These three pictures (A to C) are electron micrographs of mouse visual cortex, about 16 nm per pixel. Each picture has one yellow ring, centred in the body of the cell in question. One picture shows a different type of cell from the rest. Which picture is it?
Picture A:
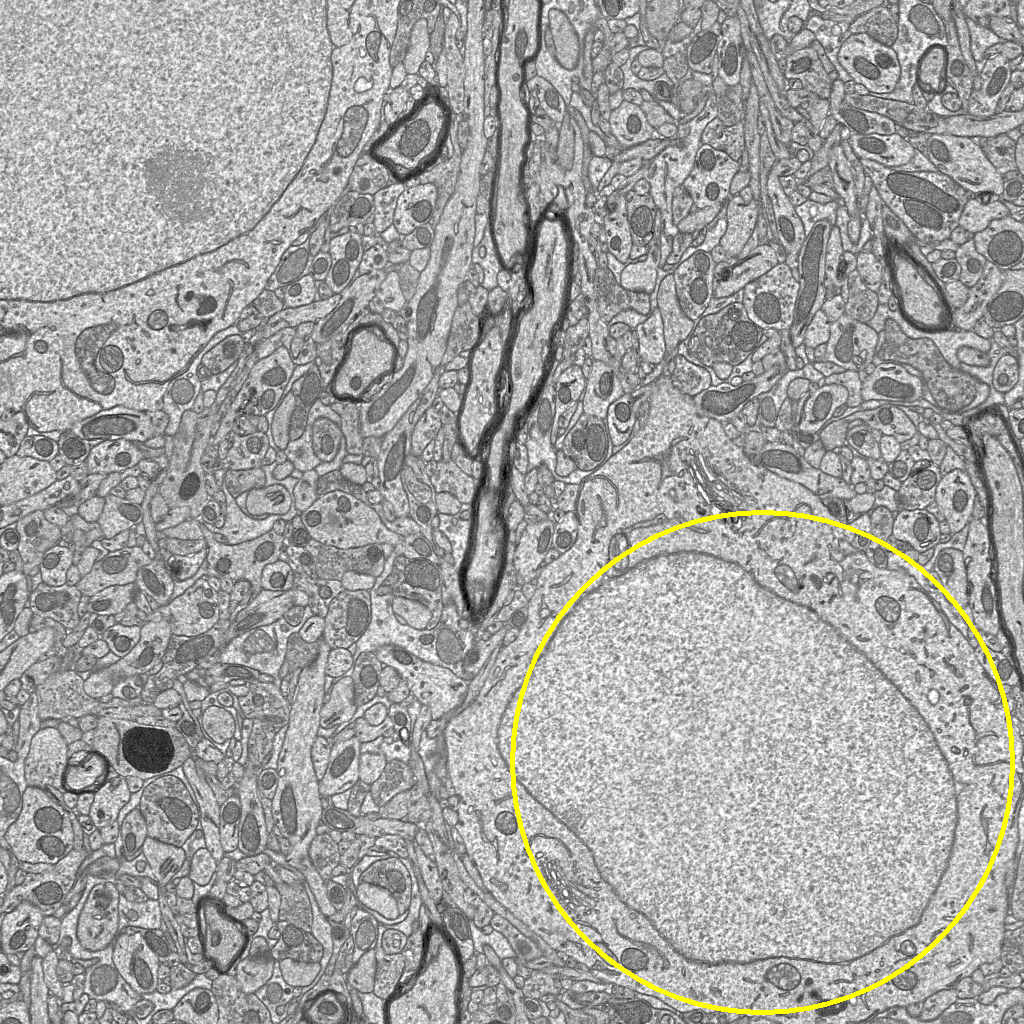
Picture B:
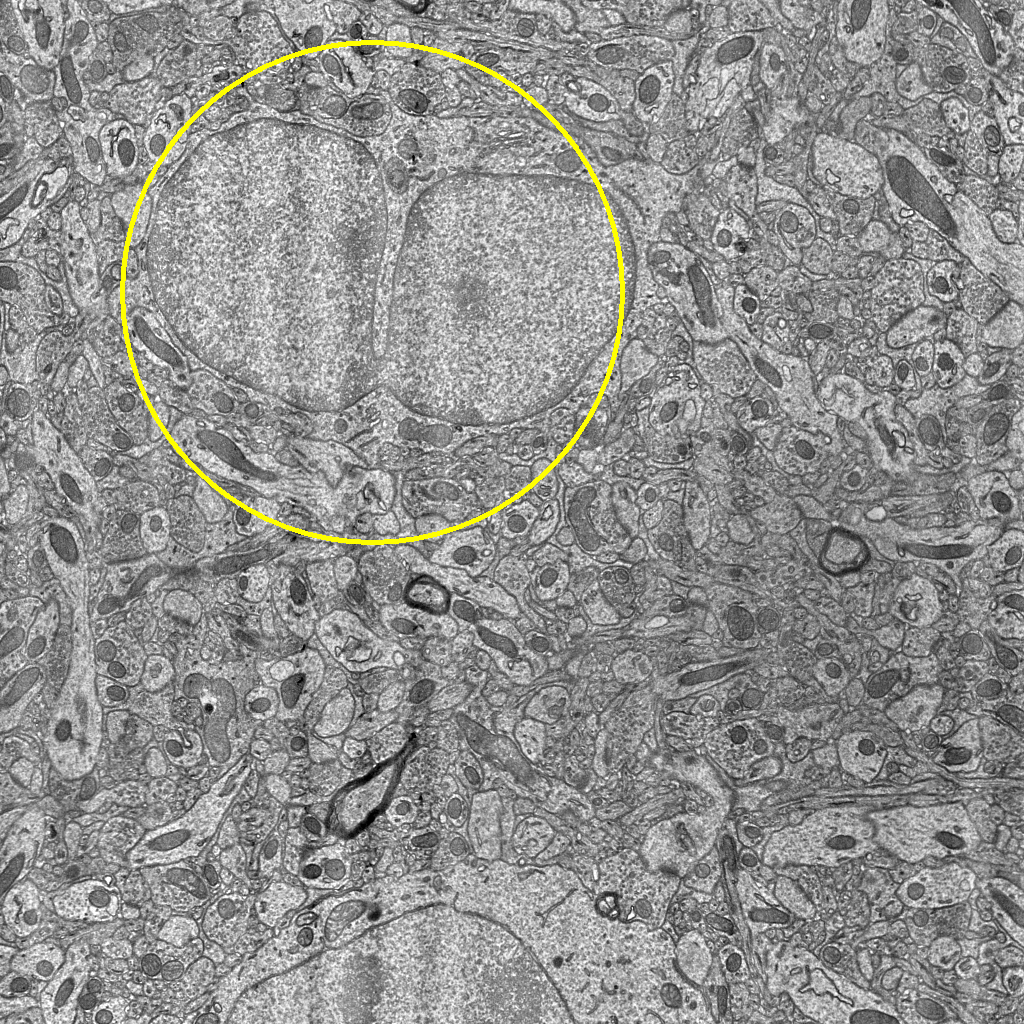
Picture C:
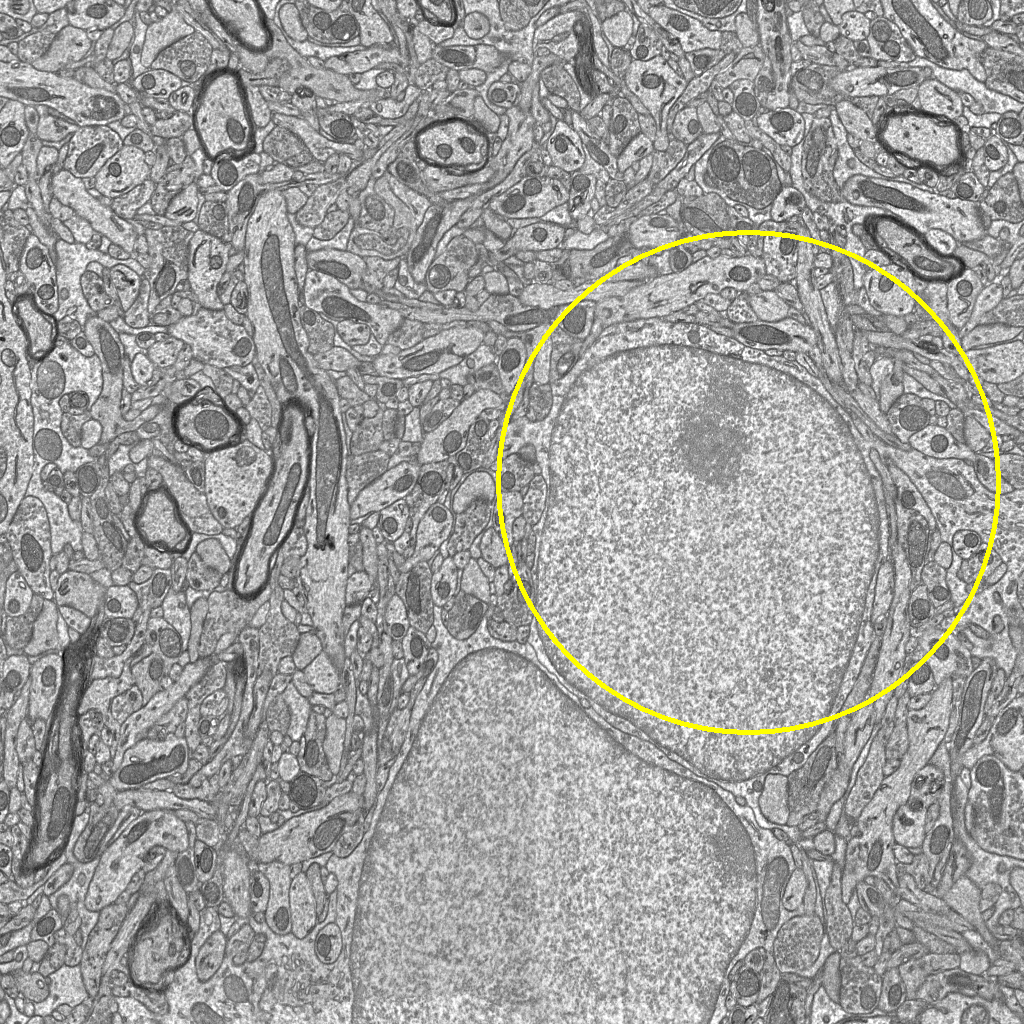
Picture A differs, because its cell is an excitatory neuron and the rest are astrocytes.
